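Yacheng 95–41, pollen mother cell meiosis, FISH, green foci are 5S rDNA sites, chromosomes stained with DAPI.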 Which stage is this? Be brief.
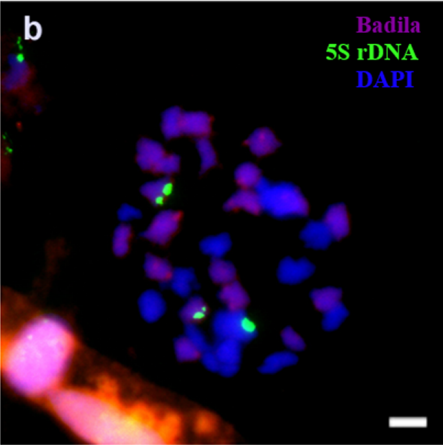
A: Diakinesis.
